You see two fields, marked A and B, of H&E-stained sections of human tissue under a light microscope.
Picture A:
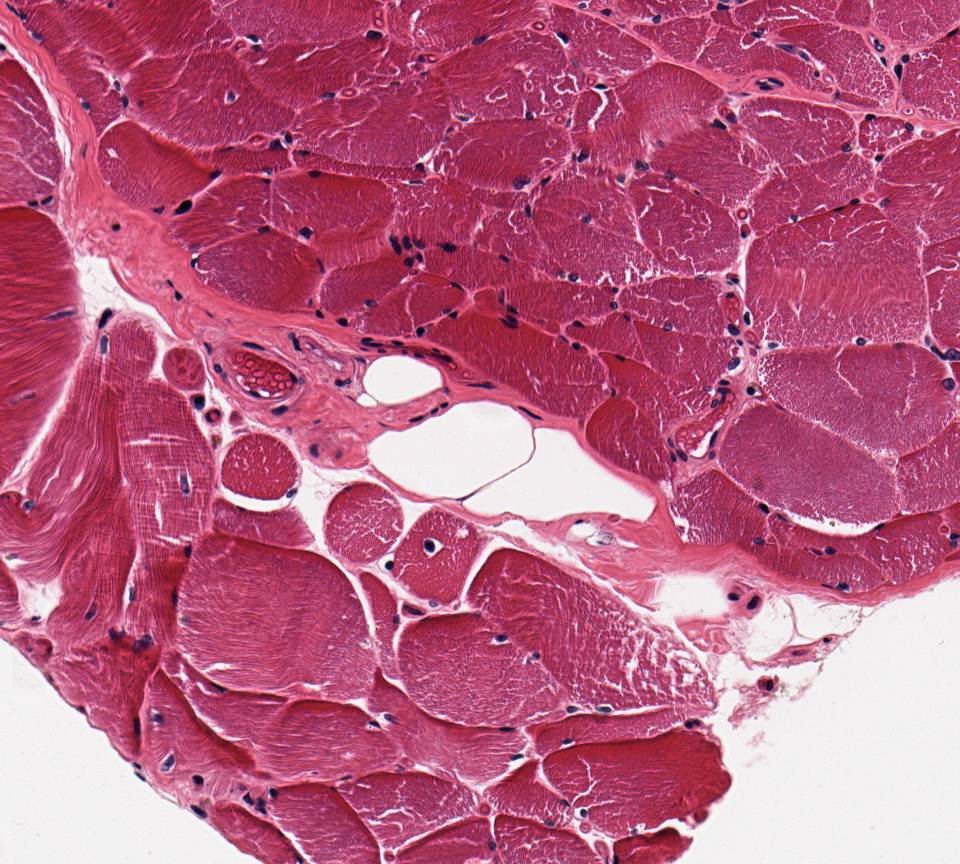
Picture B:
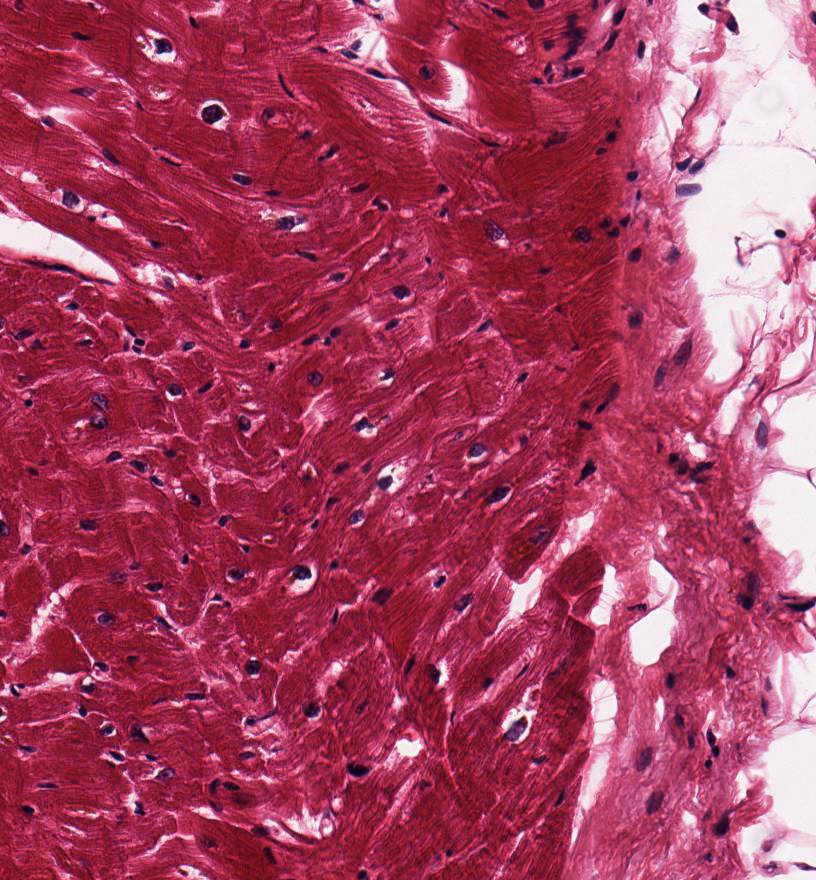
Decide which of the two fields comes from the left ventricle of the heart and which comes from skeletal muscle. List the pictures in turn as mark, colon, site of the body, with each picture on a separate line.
A: skeletal muscle
B: left ventricle of the heart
